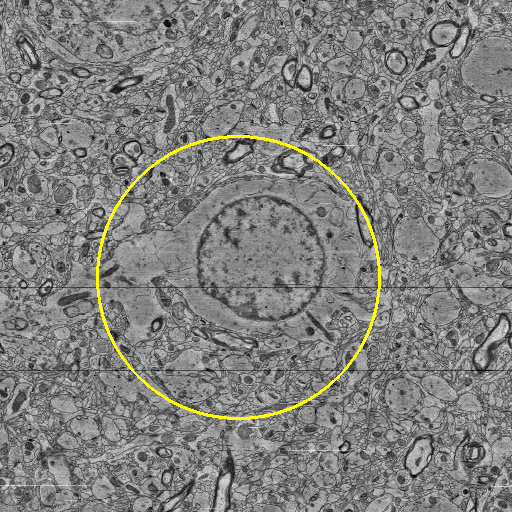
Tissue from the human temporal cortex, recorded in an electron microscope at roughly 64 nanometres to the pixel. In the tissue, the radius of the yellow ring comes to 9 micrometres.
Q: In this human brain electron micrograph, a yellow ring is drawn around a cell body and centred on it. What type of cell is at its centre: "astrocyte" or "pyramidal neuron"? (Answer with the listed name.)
astrocyte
